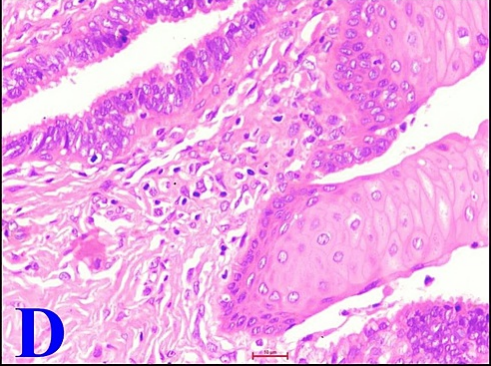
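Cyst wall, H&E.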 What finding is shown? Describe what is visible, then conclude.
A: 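A multilayered epithelium of polygonal cells with abundant pink cytoplasm. Columnar epithelium lies nearby in the same field.
Conclusion: focal squamous metaplasia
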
